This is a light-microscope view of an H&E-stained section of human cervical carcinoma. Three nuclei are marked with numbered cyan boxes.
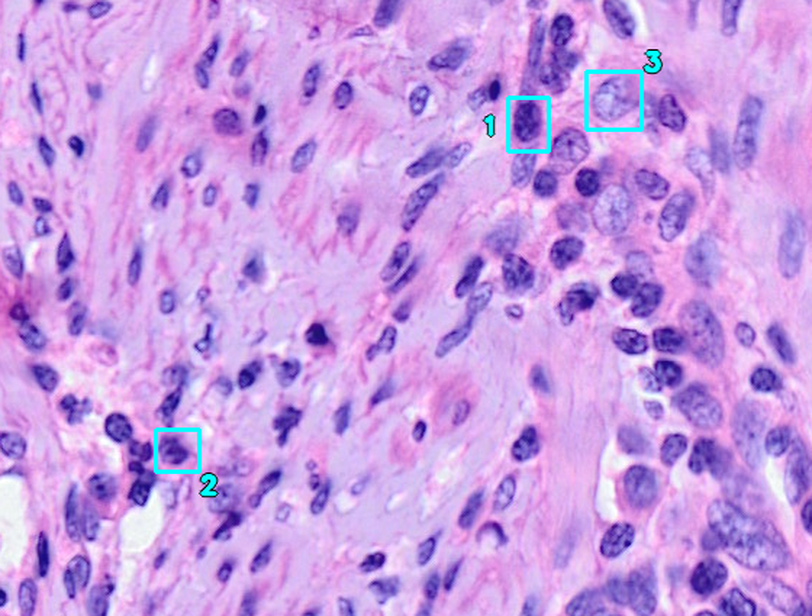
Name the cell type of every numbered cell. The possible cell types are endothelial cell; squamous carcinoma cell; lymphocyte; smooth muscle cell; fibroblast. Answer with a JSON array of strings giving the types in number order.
["lymphocyte", "lymphocyte", "endothelial cell"]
